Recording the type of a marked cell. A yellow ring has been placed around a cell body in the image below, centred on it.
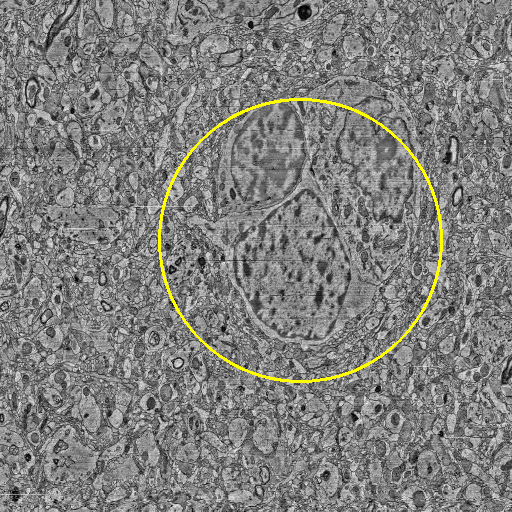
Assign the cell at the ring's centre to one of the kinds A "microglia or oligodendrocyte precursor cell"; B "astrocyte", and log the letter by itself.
A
